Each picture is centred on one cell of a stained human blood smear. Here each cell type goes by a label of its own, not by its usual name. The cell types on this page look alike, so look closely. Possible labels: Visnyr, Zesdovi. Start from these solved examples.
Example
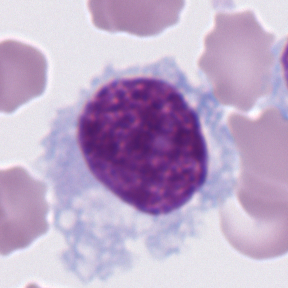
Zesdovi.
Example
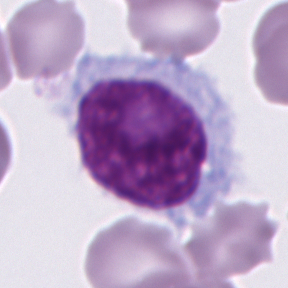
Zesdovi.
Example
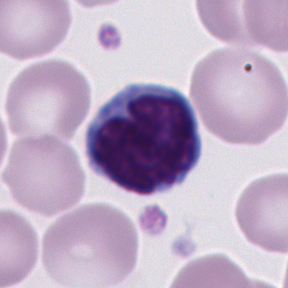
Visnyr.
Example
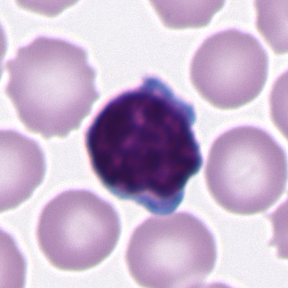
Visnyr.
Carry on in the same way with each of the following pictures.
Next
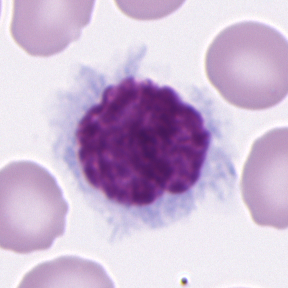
Zesdovi.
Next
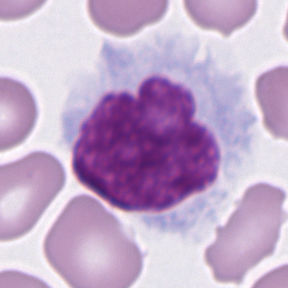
Zesdovi.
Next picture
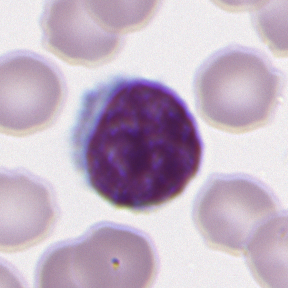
Visnyr.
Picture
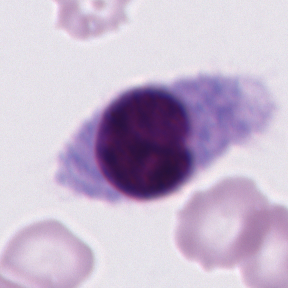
Zesdovi.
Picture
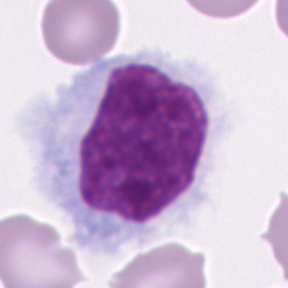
Zesdovi.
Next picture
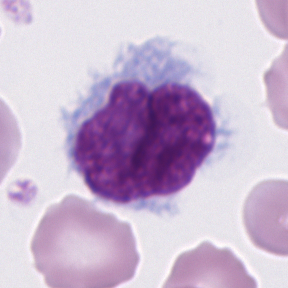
Zesdovi.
